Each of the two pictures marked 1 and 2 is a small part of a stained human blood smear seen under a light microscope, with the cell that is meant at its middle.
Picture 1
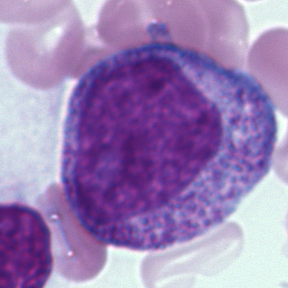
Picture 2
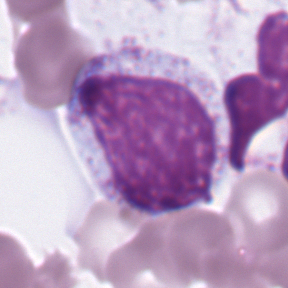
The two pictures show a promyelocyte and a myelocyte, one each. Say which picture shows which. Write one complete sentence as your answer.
Picture 1 is of a promyelocyte, and picture 2 is of a myelocyte.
